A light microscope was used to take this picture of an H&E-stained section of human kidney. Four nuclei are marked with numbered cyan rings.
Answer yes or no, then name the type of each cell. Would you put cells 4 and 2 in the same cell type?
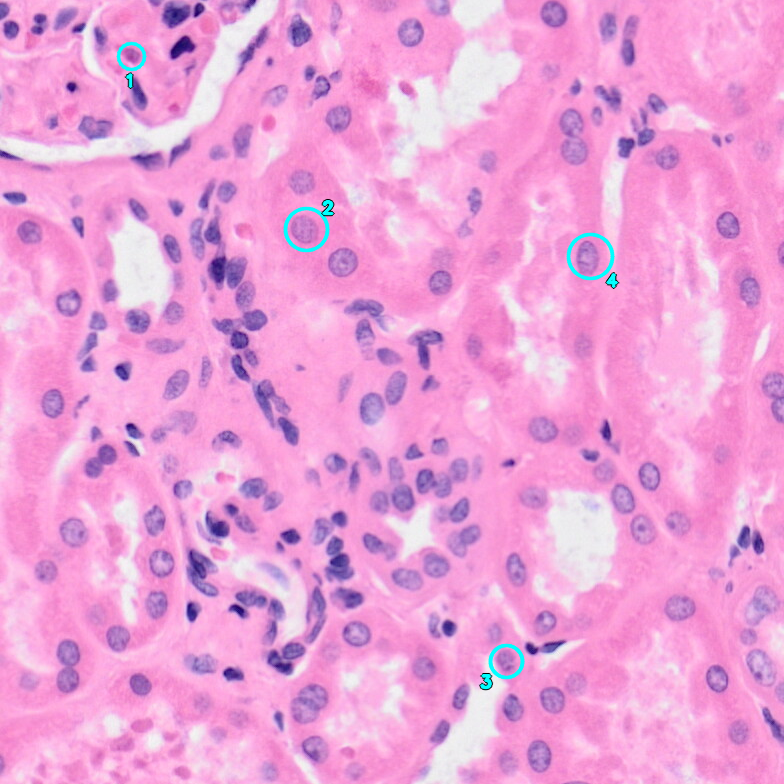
Yes, the cell marked 4 and the cell marked 2 are both proximal tubule cells.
